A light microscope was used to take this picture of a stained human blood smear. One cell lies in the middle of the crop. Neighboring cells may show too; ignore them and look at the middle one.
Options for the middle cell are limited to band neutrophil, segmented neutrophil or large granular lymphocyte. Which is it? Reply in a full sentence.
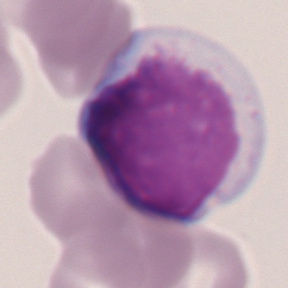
The cell positioned in the middle of the field is a large granular lymphocyte.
